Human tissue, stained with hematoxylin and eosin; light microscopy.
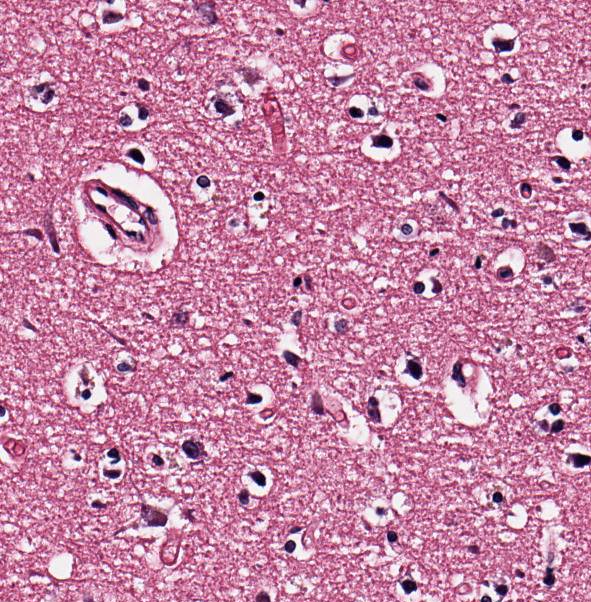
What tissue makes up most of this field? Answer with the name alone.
cerebral cortex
